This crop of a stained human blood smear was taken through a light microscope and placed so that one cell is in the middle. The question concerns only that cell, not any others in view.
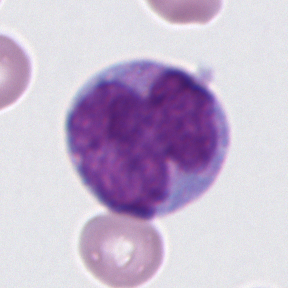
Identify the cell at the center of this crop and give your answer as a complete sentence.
To answer, the cell in the center of the crop is an atypical promyelocyte.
